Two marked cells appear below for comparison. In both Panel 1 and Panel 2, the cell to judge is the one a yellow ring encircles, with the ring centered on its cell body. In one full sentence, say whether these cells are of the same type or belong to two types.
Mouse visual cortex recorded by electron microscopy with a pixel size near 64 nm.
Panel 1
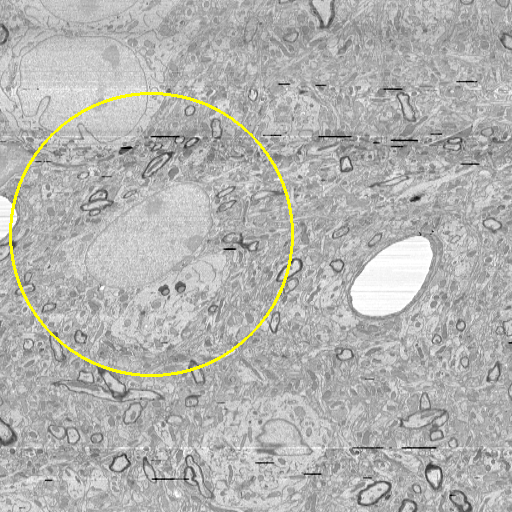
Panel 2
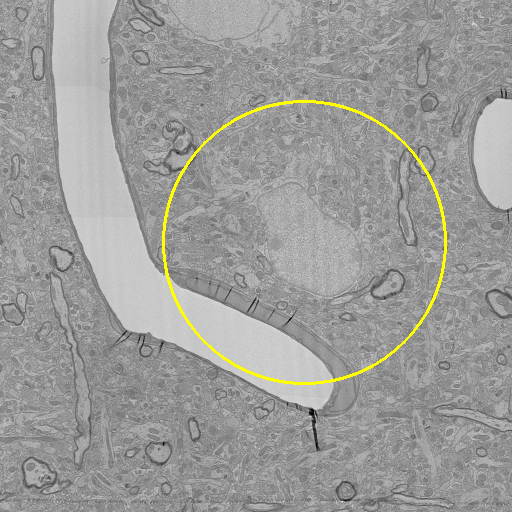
The cell centered in the Panel 1 ring and the one in Panel 2 are of the same type.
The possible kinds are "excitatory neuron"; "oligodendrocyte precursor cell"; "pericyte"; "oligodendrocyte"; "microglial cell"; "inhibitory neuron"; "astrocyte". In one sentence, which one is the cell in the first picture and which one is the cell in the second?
In each picture the ringed cell is an astrocyte.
